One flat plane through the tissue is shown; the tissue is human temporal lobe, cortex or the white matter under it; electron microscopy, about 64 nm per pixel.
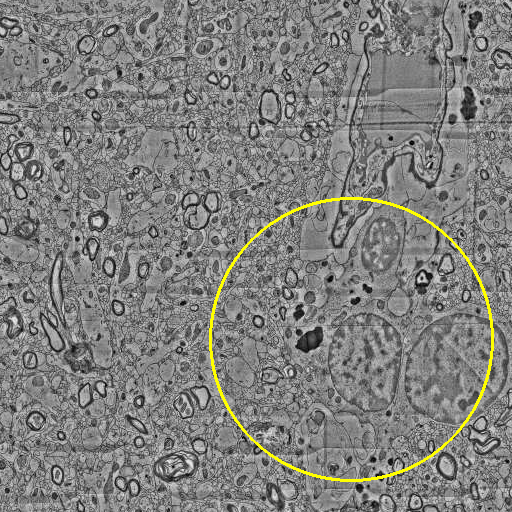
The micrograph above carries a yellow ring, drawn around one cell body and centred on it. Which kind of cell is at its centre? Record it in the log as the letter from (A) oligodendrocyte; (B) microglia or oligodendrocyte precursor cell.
A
